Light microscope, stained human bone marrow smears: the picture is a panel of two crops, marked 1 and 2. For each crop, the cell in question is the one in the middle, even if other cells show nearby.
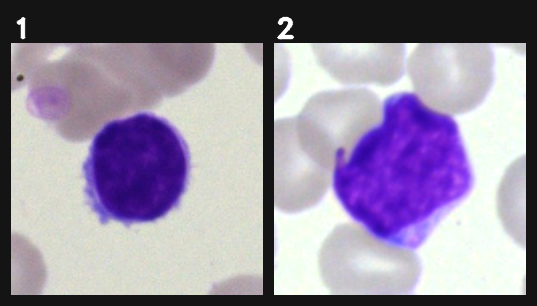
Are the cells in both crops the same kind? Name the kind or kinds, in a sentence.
No, a blast is depicted in crop 2, whereas a lymphocyte is depicted in crop 1.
